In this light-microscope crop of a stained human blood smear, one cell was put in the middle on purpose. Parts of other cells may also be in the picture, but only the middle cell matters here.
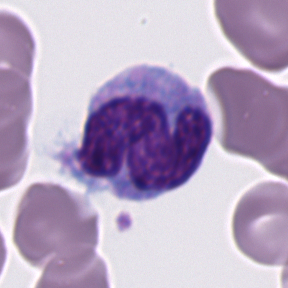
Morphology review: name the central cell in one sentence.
The cell centered in this field of view is a monocyte.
